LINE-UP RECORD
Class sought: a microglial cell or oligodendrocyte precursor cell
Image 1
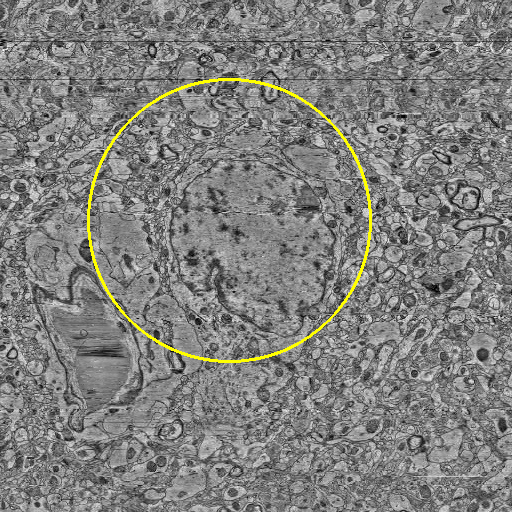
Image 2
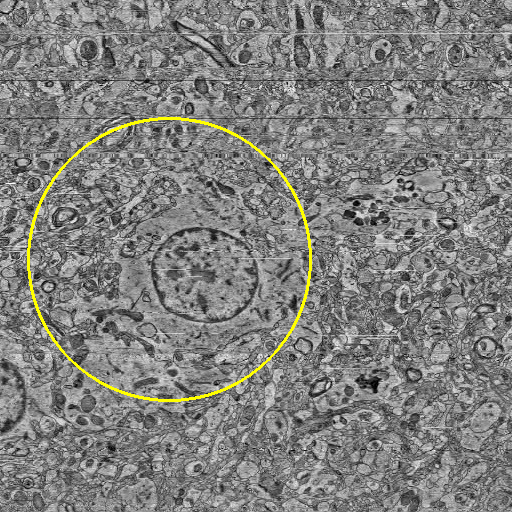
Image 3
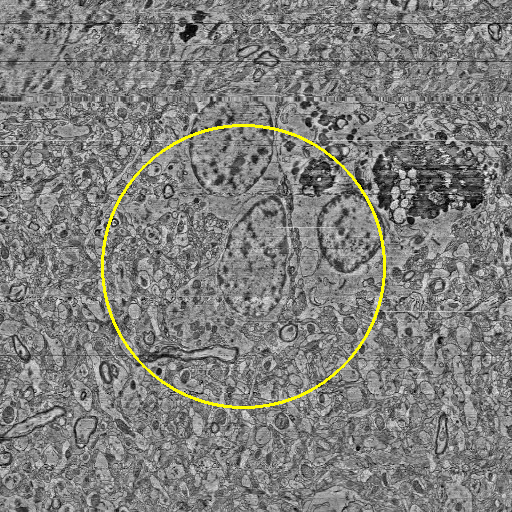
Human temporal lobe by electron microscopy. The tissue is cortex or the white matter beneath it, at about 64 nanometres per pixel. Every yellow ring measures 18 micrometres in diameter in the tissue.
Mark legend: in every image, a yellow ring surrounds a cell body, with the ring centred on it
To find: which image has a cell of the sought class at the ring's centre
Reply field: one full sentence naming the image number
The ring-centred cell of image 3 belongs to the class sought.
